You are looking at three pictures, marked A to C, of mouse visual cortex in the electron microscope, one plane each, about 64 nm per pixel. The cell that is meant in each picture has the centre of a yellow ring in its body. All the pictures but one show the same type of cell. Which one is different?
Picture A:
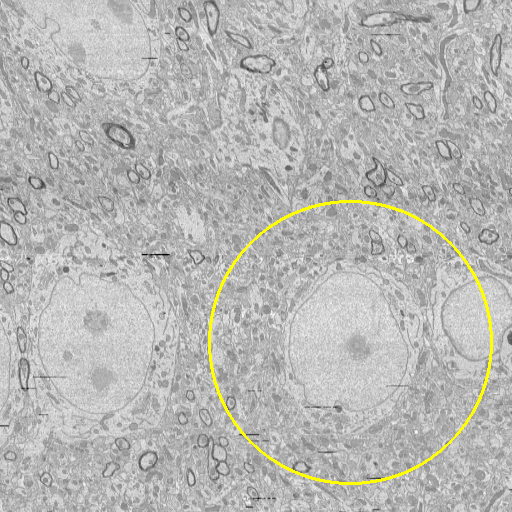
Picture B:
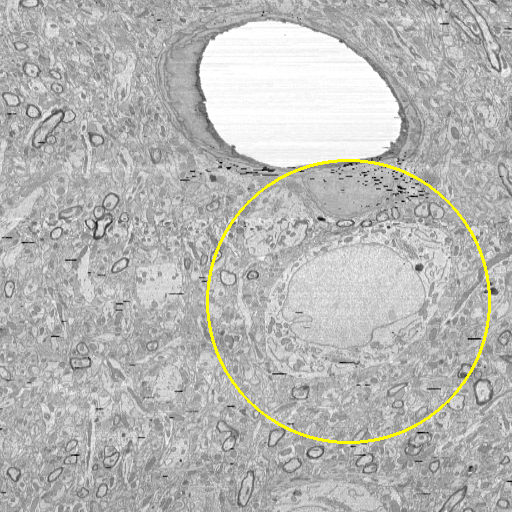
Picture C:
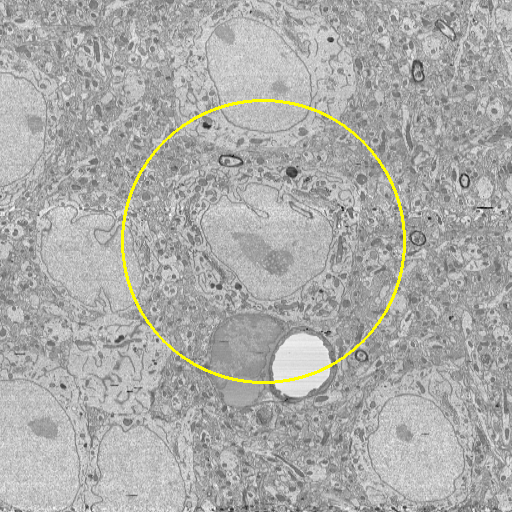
All pictures except A show inhibitory neurons; picture A shows an excitatory neuron.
